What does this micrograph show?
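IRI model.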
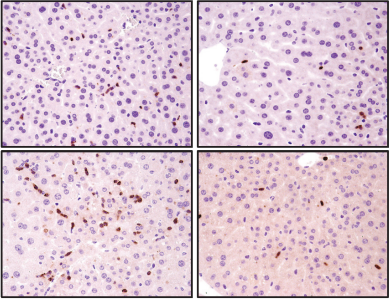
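Four fields of liver parenchyma show hepatocytes with pale pink-to-lilac cytoplasm and round, centrally placed blue-purple nuclei, some cells with two nuclei. Small, intensely dark brown cells are scattered among them, lying in the narrow sinusoidal spaces between the hepatocytes, many elongated or irregular in shape. The brown cells are clearly more numerous in the two left-hand fields than in the two right-hand fields. A few small, clear vascular lumina are seen in the right-hand fields. One lower field has a faint diffuse brownish tint in the background.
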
